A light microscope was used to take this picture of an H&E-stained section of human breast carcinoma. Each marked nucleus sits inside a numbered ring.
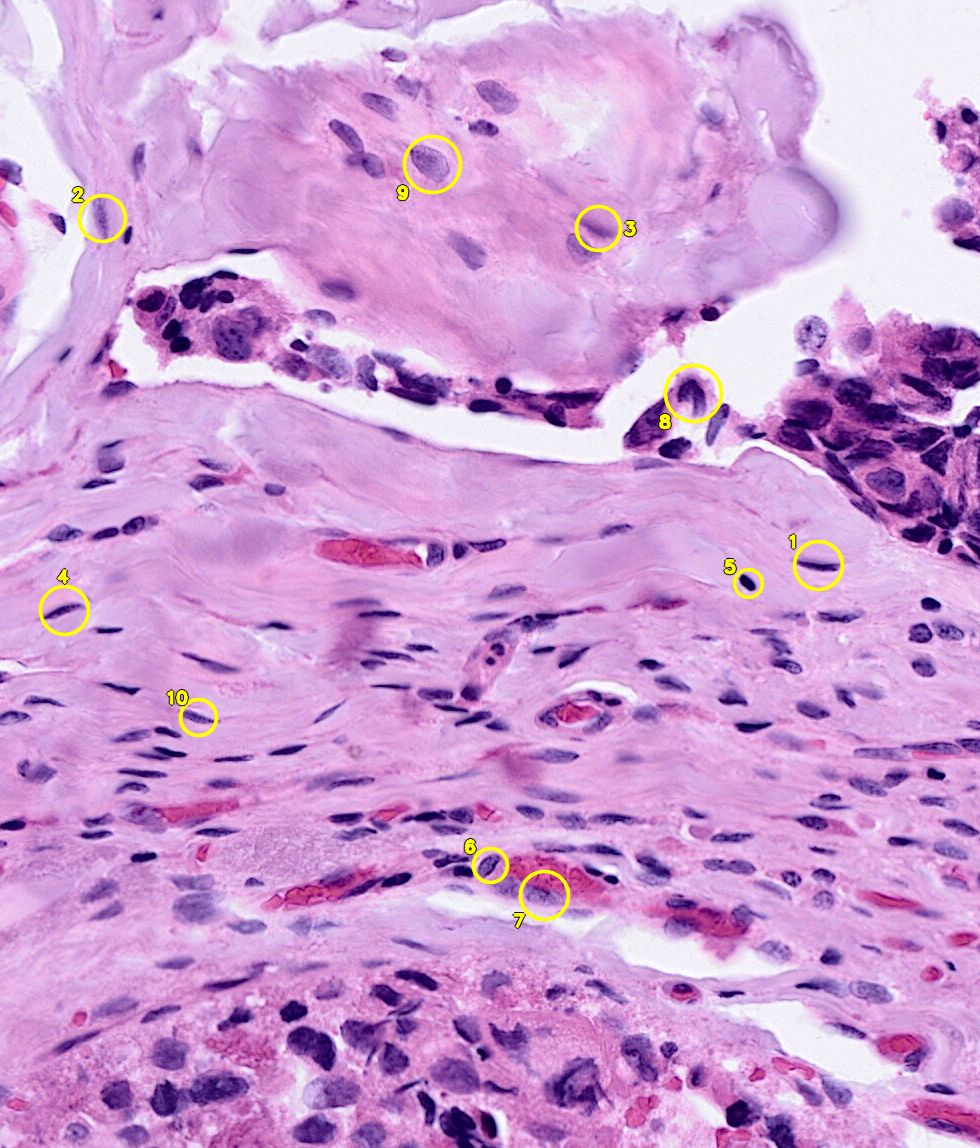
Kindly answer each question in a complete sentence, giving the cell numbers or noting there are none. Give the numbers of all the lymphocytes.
Unlike the other numbered cells, cell 5 is a lymphocyte.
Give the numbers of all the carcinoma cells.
Only the cell at mark 8 is a carcinoma cell, and no other marked cell is.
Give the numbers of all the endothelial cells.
The cells marked with the numbers 6 and 7 are endothelial cells.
